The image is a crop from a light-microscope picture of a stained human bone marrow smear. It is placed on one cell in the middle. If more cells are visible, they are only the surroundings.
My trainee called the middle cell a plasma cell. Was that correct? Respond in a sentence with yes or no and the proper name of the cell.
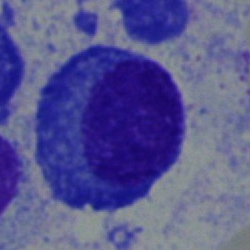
Yes, the cell at the centre is designated a plasma cell.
